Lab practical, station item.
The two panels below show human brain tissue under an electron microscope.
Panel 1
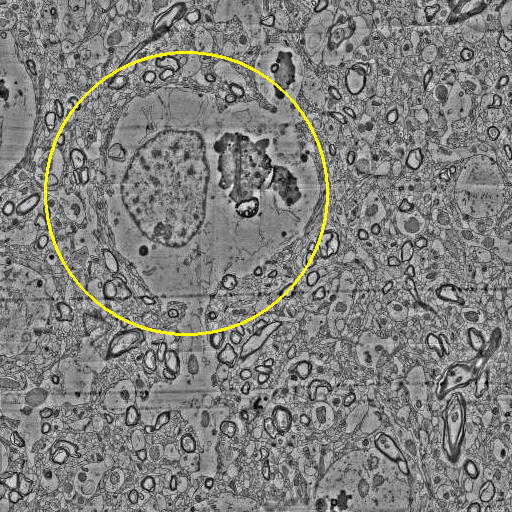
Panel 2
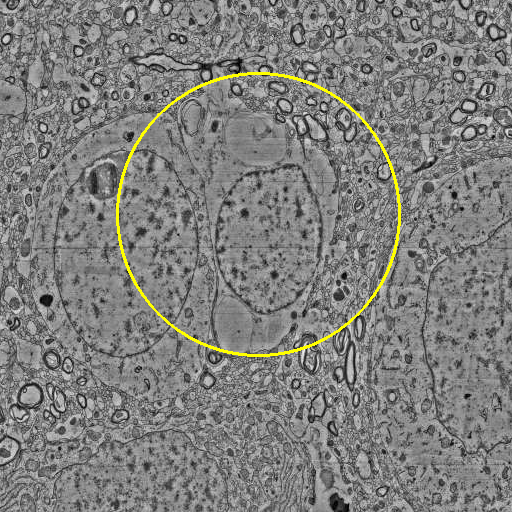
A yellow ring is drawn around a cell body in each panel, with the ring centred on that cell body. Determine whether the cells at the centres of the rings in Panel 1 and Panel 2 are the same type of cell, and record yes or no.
yes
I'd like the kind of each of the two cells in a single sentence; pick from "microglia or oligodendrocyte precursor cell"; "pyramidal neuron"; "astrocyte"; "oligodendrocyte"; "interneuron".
Each of the two pictures has an astrocyte at the ring centre.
